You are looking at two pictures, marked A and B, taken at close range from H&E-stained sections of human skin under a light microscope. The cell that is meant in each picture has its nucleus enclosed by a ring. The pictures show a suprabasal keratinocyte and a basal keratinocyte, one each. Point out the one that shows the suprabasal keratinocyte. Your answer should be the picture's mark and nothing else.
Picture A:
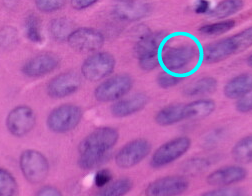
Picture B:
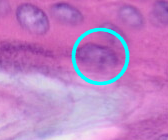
B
